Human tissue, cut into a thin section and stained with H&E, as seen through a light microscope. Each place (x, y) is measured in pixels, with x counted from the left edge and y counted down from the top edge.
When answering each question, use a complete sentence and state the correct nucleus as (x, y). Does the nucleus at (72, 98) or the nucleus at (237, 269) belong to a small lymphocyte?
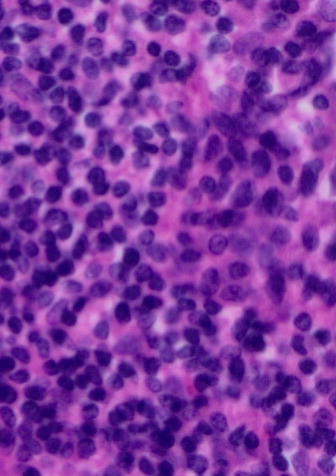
Of the two candidate nuclei, the one at (72, 98) is that of a small lymphocyte.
